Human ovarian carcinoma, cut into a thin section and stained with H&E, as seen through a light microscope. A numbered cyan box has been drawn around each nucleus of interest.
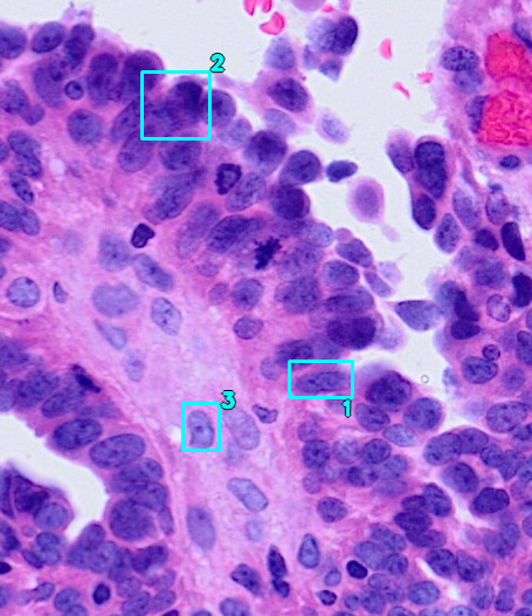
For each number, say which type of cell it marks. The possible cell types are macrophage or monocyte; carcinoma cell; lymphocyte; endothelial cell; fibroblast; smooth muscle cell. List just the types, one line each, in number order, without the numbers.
carcinoma cell
carcinoma cell
fibroblast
